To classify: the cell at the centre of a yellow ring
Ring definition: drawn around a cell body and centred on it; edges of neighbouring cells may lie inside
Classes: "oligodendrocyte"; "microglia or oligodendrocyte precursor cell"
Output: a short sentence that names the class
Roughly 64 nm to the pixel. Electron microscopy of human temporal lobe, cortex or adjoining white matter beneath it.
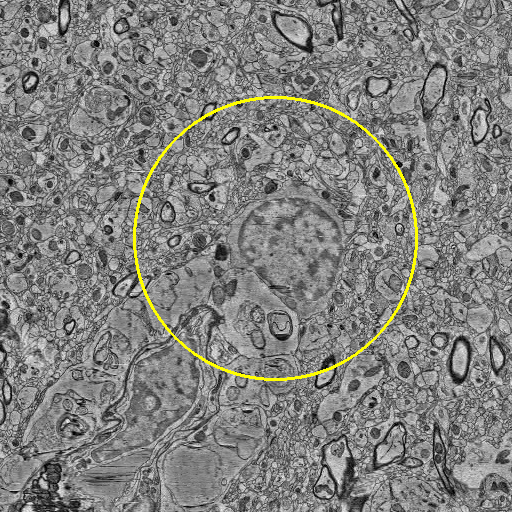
The ringed cell is an oligodendrocyte.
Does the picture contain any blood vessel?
Yes, one appears.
